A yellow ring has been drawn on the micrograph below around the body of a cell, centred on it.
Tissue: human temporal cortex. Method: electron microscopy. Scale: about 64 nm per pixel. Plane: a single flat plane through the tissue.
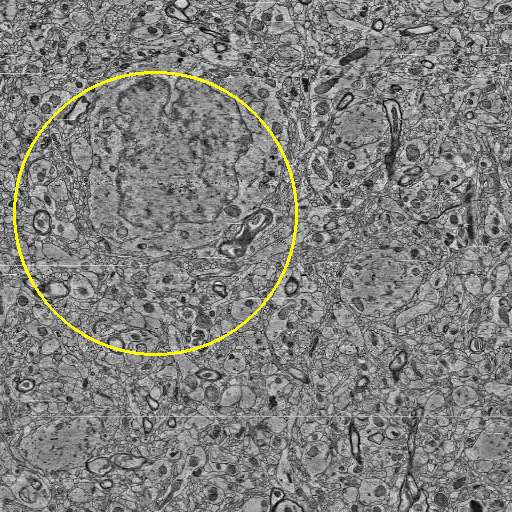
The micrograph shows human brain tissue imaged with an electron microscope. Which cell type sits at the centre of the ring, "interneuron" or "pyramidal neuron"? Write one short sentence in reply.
The cell sitting at the centre of the ring is an interneuron.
